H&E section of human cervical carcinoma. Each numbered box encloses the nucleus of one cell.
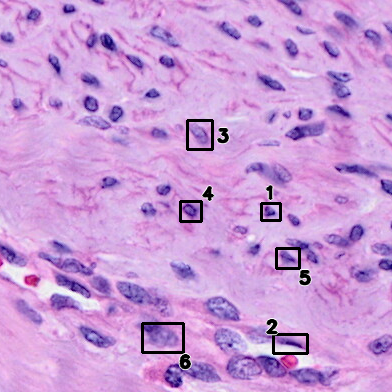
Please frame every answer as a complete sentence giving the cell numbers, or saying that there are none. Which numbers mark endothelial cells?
By cell type, the cells numbered 2 and 6 are endothelial cells.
